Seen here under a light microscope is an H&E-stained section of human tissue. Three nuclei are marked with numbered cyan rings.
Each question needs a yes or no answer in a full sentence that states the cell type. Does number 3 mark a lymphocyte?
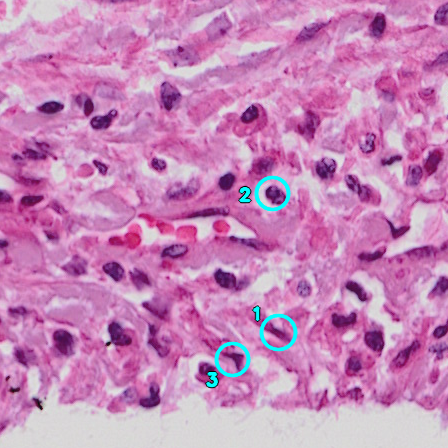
No, it is a fibroblast, rather than a lymphocyte, that carries number 3.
